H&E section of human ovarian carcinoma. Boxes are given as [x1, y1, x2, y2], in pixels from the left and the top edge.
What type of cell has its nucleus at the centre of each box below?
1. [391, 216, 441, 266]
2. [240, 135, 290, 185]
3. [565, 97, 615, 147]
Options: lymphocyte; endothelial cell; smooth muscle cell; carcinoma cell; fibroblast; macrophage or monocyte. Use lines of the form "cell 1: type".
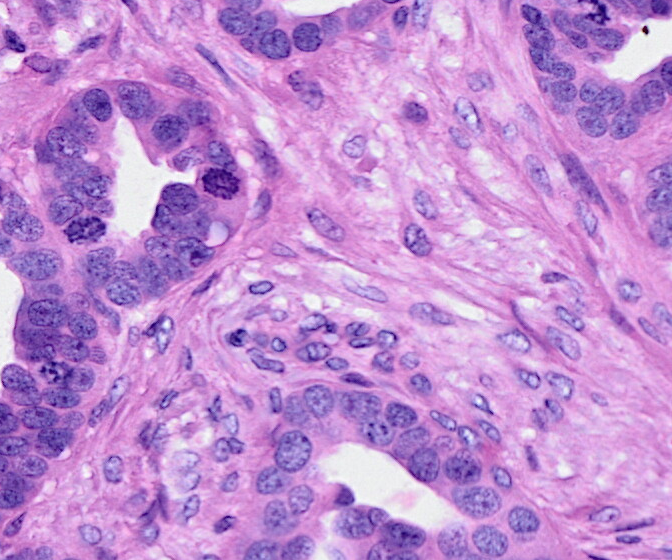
cell 1: fibroblast
cell 2: fibroblast
cell 3: carcinoma cell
